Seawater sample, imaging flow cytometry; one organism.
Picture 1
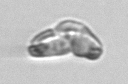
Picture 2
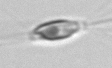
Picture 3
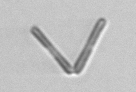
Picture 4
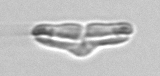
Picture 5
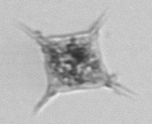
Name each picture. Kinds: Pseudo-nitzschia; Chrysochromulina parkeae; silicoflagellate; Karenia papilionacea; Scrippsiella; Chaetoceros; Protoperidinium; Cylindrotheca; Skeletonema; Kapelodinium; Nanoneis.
1: Karenia papilionacea
2: Chrysochromulina parkeae
3: Nanoneis
4: Karenia papilionacea
5: silicoflagellate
